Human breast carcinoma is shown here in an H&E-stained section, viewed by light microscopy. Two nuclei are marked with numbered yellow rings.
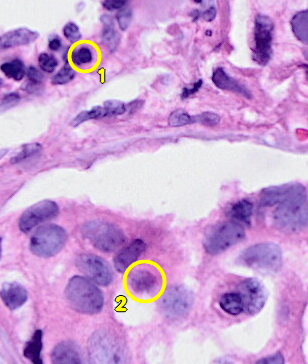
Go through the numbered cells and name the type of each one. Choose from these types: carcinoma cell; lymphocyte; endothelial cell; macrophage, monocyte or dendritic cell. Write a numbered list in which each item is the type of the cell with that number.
1. lymphocyte
2. carcinoma cell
